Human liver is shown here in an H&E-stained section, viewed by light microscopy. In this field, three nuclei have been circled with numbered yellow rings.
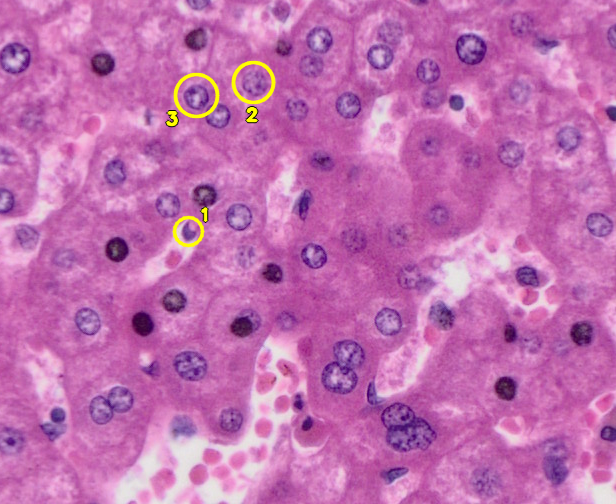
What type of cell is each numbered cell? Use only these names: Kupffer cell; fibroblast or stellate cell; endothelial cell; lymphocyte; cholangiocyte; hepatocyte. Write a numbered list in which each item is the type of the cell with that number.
1. Kupffer cell
2. hepatocyte
3. hepatocyte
